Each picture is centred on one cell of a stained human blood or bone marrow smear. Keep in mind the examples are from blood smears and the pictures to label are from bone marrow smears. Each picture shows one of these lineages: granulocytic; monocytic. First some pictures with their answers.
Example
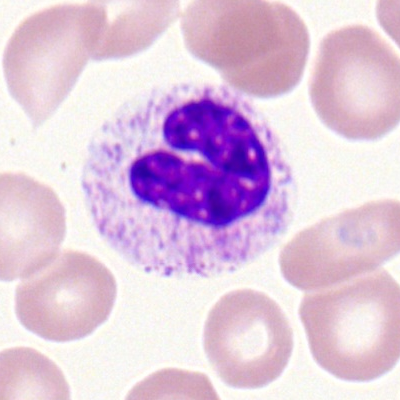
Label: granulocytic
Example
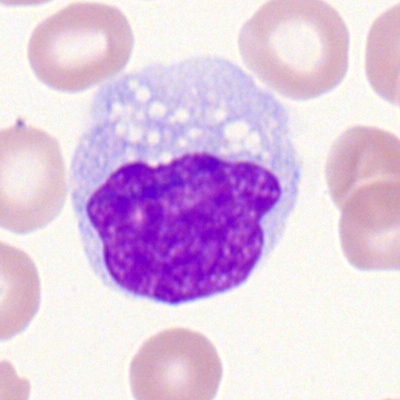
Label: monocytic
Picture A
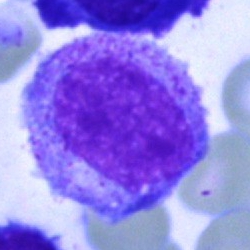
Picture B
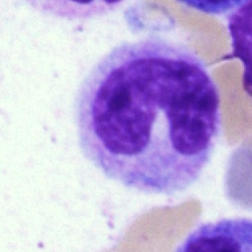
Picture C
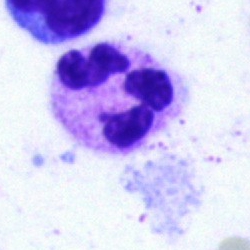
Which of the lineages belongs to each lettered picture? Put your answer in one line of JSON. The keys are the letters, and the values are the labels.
{"A": "granulocytic", "B": "granulocytic", "C": "granulocytic"}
